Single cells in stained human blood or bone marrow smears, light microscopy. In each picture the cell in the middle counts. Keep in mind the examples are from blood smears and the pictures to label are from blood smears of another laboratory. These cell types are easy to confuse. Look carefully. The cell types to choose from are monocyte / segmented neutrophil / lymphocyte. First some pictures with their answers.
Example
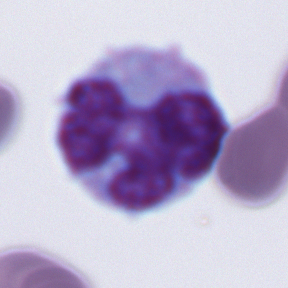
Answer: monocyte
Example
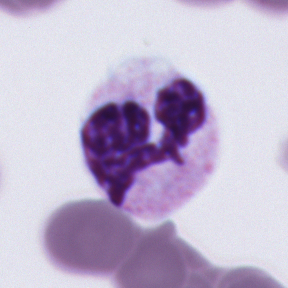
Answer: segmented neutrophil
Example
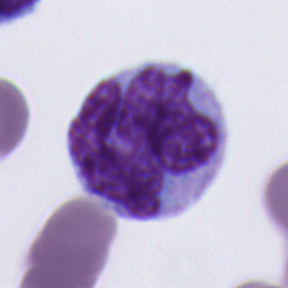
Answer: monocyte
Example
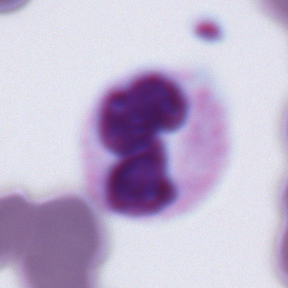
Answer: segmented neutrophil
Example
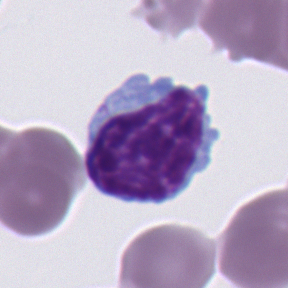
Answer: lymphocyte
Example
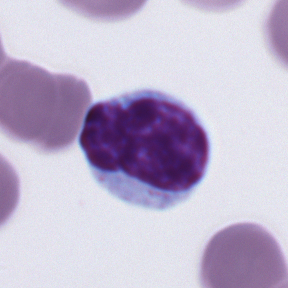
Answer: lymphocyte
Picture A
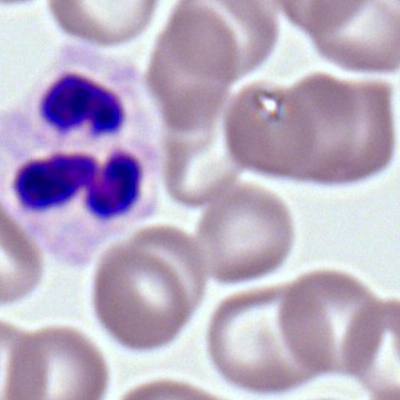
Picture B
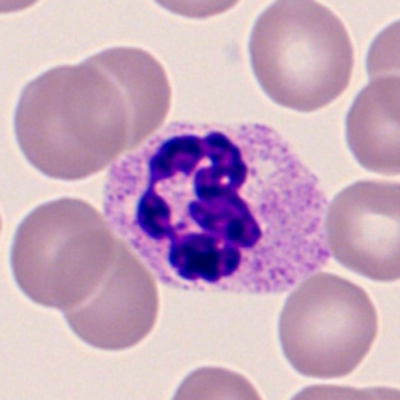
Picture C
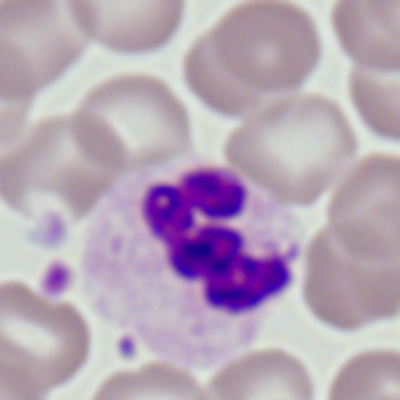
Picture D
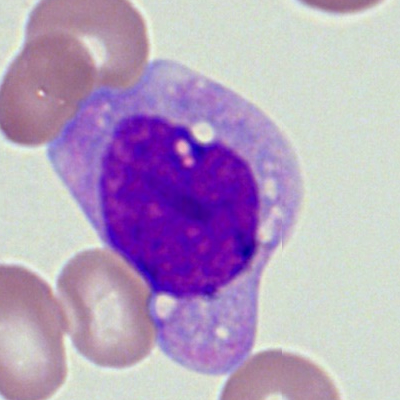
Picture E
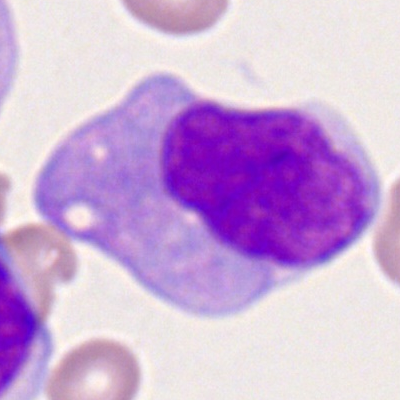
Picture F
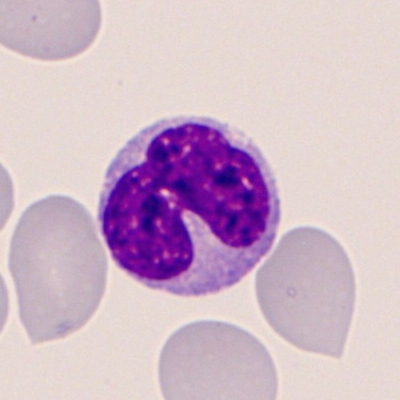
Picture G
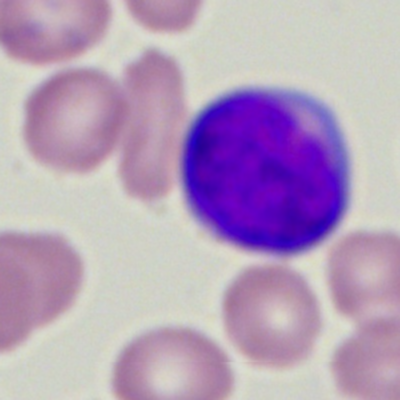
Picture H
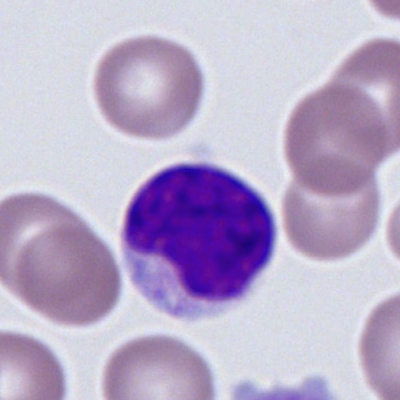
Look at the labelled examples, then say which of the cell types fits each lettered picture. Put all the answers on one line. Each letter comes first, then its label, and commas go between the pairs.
A segmented neutrophil, B segmented neutrophil, C segmented neutrophil, D monocyte, E monocyte, F monocyte, G lymphocyte, H lymphocyte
